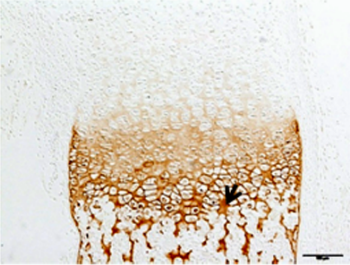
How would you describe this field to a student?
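This is the cartilage of a growth plate. The upper part holds small, unstained chondrocytes, while the lower band holds large, rounded hypertrophic chondrocytes in lacunae framed by brown-stained matrix. Below this band the brown stain follows strands of matrix that extend downward.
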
